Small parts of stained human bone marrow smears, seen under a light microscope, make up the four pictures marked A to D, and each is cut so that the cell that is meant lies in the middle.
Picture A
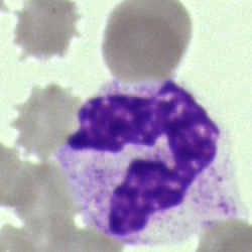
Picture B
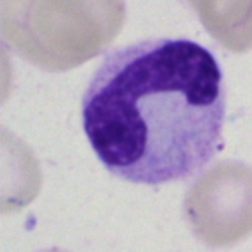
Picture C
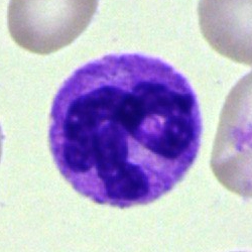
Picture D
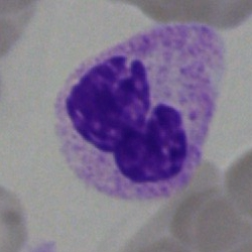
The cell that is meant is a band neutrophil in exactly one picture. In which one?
B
